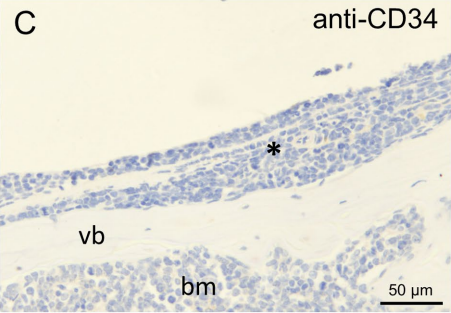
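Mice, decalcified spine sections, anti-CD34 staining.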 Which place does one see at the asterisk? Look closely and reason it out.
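The asterisk lies in a band of densely packed small round cells. The band runs alongside a pale strip of bone. A separate cell-filled space lies on the other side of the bone. On this evidence: spinal canal.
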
